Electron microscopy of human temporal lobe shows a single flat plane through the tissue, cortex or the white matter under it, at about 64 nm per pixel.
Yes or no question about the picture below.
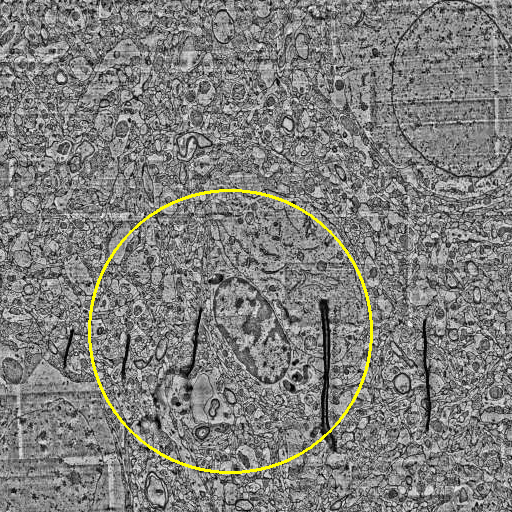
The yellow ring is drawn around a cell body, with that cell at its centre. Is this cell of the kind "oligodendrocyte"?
no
